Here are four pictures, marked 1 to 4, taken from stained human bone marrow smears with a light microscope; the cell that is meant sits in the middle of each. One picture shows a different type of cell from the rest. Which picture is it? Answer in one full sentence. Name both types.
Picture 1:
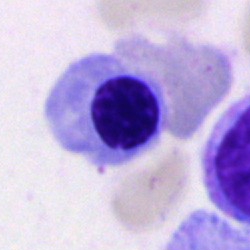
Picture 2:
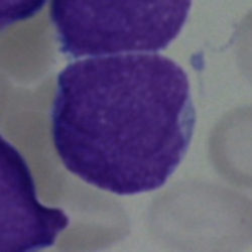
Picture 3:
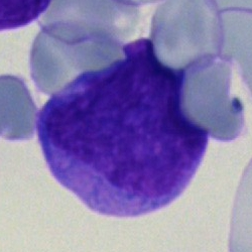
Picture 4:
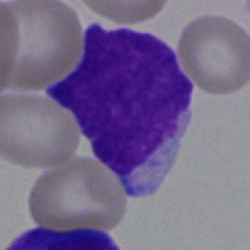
All pictures except 1 show blasts; picture 1 shows an erythroblast.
